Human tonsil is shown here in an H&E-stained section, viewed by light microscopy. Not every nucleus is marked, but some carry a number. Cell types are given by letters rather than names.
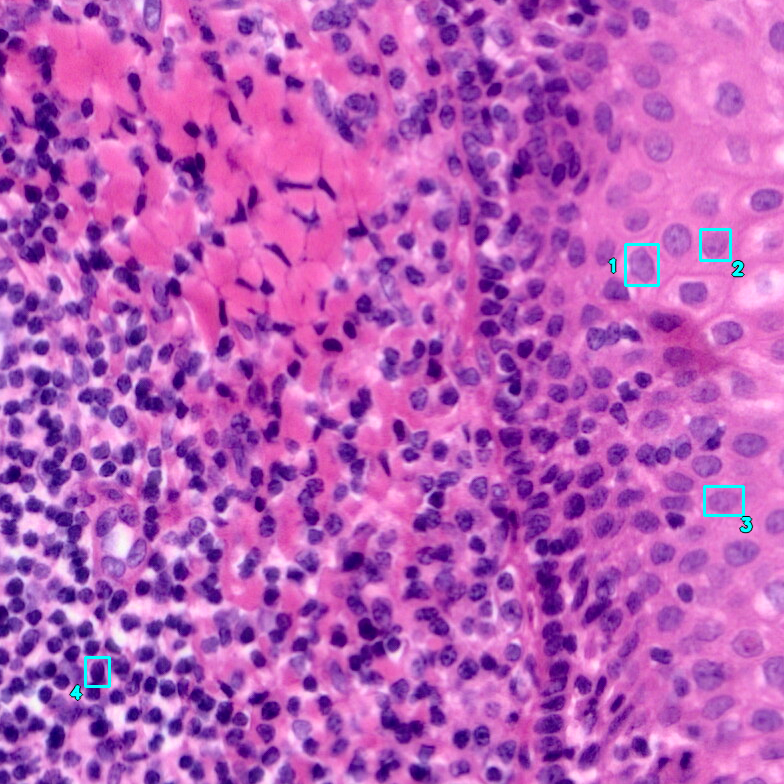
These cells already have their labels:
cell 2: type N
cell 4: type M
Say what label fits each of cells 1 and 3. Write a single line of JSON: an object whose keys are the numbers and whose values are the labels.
{"1": "type N", "3": "type N"}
